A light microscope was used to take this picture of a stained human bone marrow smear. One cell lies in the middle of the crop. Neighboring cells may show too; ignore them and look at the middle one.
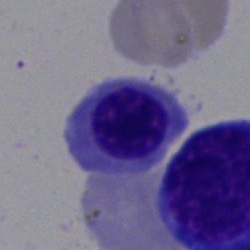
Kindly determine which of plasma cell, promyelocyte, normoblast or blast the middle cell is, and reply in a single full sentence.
At the center of the crop sits a normoblast.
